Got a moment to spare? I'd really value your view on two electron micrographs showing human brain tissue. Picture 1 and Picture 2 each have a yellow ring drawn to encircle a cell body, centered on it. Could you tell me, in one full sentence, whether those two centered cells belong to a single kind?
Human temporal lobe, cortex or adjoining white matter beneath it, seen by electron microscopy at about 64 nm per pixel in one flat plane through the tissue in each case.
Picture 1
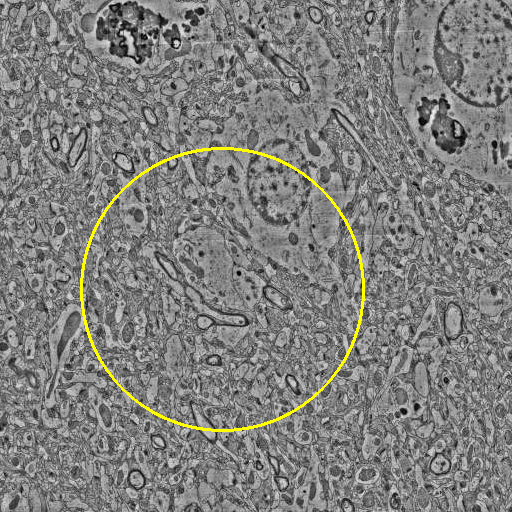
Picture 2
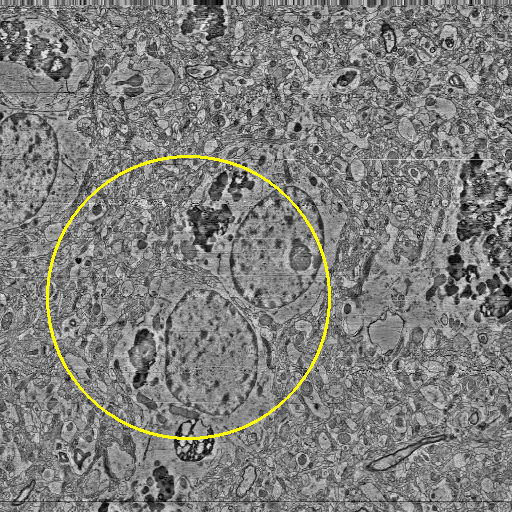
Yes, the two centered cells in Picture 1 and Picture 2 are of a single kind.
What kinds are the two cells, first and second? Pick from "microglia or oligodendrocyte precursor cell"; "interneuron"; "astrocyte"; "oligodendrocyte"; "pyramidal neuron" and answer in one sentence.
The ring centre holds an astrocyte in each of the two pictures.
